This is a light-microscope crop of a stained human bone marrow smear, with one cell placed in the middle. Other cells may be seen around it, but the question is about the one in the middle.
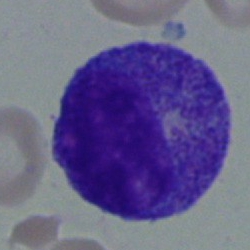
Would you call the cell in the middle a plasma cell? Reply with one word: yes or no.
no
